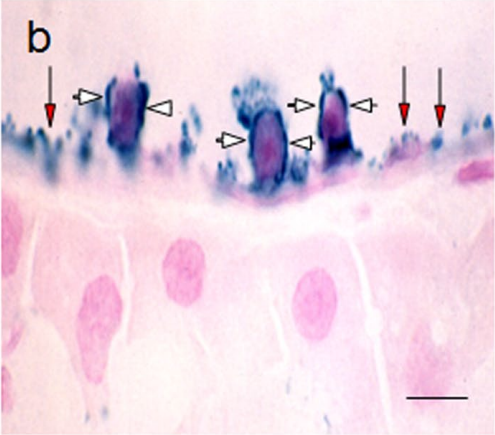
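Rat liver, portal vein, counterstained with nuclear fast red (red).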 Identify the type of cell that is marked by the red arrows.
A: Platelets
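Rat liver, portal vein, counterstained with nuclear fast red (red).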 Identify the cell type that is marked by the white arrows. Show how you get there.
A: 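Leukocytes. They sit on the vessel's luminal surface. Blue granules cluster around their edges.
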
